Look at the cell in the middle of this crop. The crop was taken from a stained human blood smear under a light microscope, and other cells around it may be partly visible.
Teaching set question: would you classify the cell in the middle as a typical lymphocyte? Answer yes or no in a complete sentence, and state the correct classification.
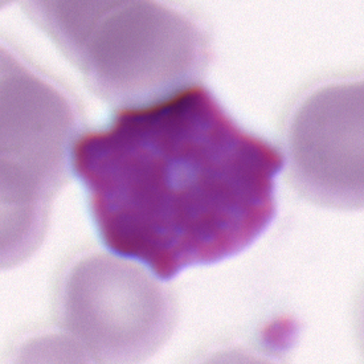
No, the central cell is a smudge cell; it should not be labelled a typical lymphocyte.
